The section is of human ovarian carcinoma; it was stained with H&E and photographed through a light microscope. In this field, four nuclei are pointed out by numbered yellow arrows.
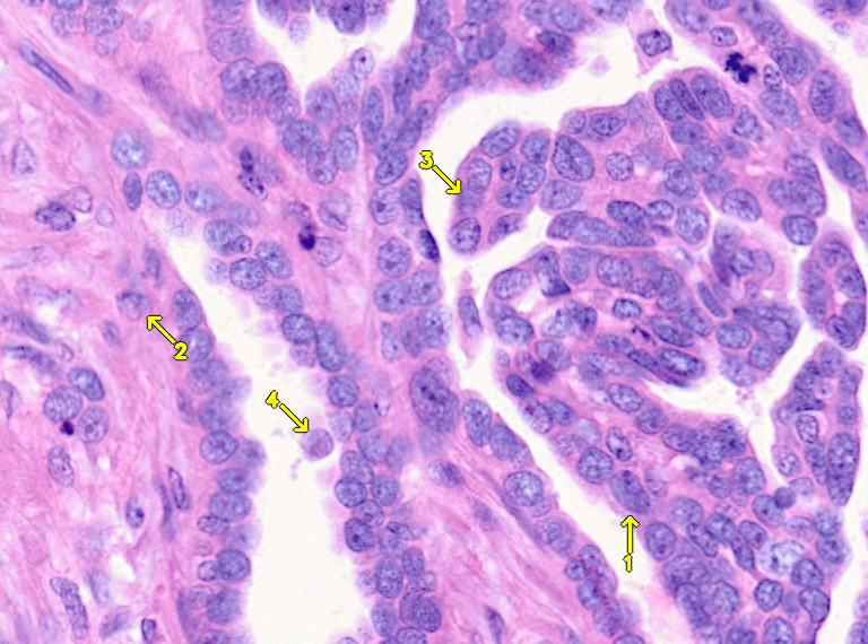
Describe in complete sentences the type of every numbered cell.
Cell 1 is a carcinoma cell, cell 2 is a fibroblast, cell 3 is a carcinoma cell and cell 4 is a carcinoma cell.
